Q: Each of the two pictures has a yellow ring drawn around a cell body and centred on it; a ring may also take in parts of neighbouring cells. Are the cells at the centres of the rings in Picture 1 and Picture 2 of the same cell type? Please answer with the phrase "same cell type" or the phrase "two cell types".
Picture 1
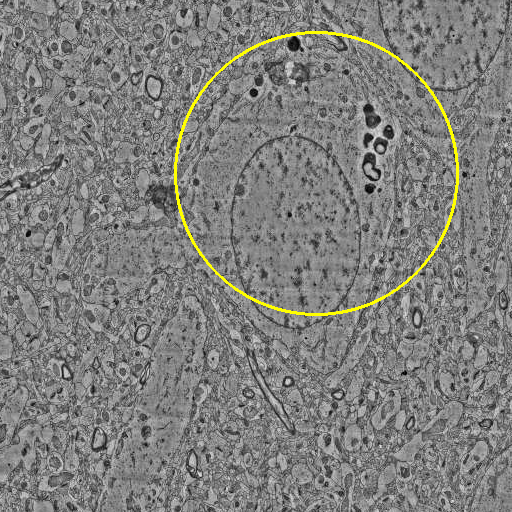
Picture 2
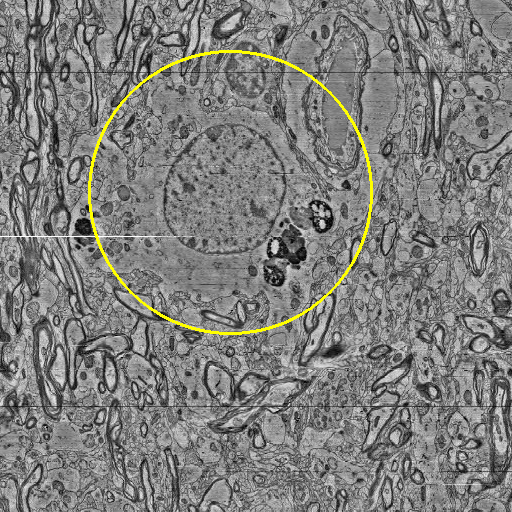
two cell types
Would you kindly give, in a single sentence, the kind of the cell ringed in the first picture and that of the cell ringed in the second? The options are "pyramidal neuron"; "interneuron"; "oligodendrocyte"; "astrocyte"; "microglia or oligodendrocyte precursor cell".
The second cell is an astrocyte, and the first cell is a pyramidal neuron.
